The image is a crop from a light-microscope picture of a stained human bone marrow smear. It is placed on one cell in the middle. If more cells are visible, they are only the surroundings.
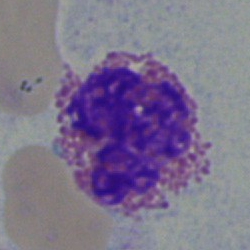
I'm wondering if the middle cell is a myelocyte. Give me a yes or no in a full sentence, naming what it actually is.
No, what the centre of the crop shows is an eosinophil, not a myelocyte.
